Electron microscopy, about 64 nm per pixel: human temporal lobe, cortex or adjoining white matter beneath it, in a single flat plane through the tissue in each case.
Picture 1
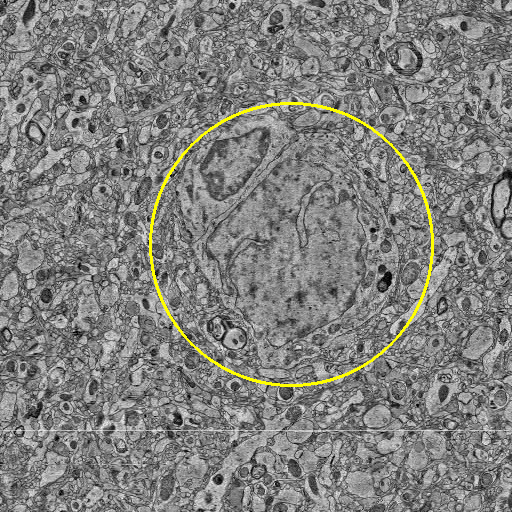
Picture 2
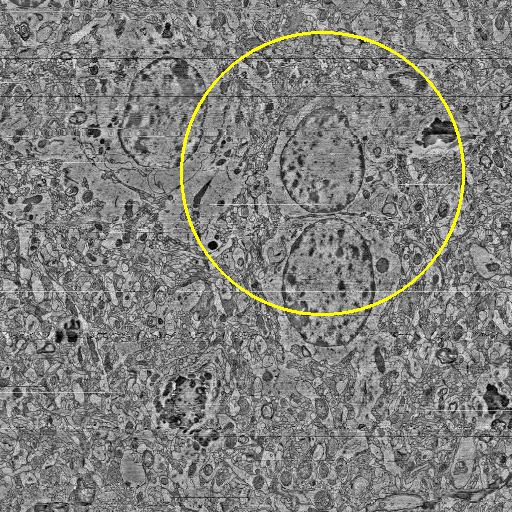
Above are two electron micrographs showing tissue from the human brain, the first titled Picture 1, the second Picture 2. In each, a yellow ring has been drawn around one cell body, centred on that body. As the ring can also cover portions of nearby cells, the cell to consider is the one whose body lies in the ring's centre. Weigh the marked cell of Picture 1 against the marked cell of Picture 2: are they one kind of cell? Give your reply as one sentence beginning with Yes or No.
No, the two cells sitting at the ring centres in the pictures are of two kinds.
